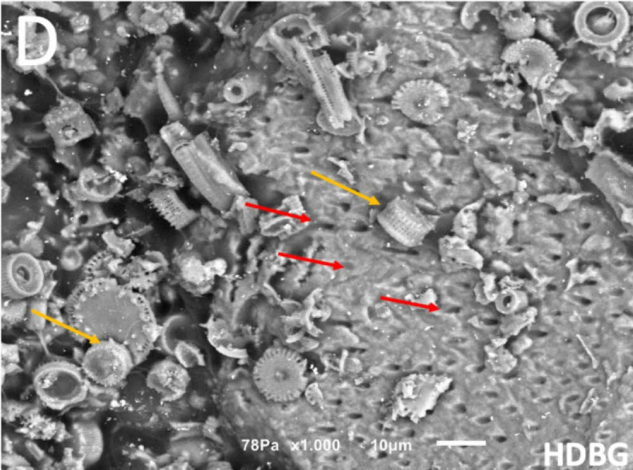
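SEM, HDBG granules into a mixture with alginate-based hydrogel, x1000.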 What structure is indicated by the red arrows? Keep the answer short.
dentin tubules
